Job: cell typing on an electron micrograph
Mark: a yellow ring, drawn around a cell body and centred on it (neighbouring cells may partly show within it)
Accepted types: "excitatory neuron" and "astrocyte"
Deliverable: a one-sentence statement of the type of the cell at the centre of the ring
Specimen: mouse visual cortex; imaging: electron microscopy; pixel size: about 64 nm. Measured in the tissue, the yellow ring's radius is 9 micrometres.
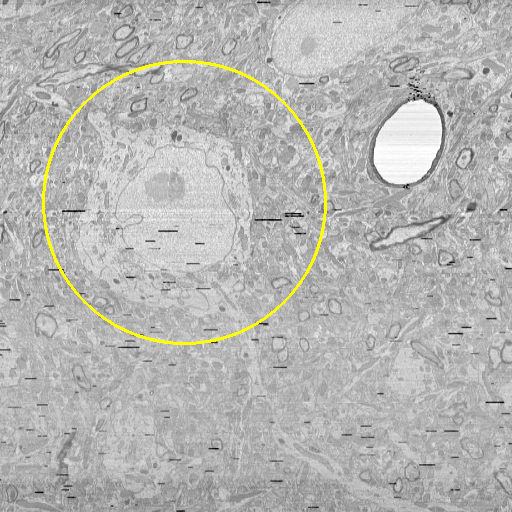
The centred cell body is that of an excitatory neuron.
